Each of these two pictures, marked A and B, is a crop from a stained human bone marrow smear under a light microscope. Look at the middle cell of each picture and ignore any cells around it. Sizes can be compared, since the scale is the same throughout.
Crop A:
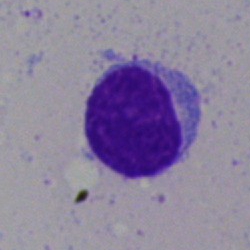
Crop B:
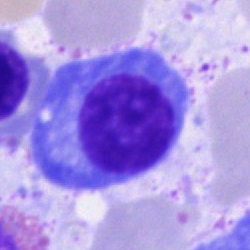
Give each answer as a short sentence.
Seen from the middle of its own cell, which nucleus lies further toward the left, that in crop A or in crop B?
It is the nucleus in crop A that lies further toward the left of its cell.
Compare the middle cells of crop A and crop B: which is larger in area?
Larger is the cell in crop B, at roughly 1.5 times the area of the other.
